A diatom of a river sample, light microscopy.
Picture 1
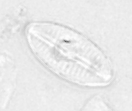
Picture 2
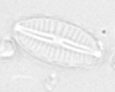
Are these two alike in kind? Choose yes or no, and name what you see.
Yes. Craticula.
